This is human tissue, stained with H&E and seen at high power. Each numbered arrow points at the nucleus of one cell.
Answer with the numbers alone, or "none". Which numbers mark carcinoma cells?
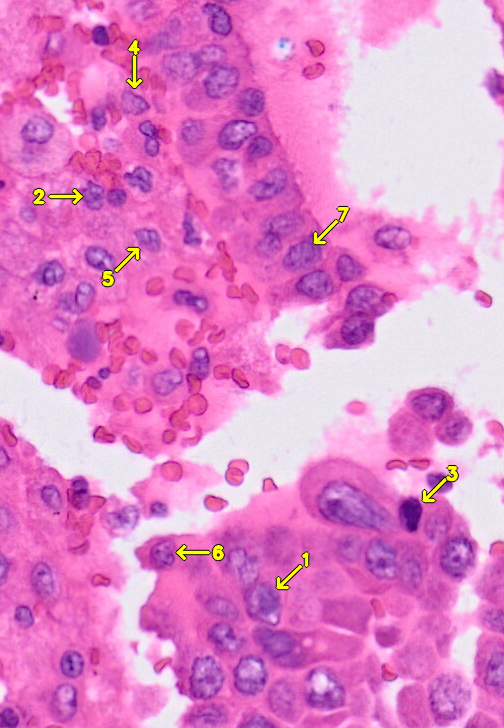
1, 3, 7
